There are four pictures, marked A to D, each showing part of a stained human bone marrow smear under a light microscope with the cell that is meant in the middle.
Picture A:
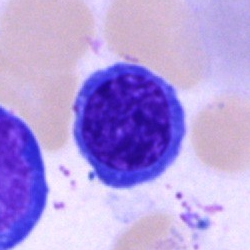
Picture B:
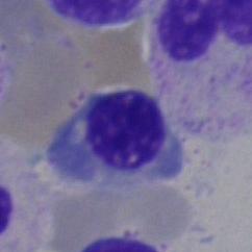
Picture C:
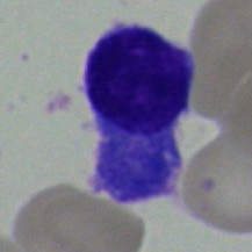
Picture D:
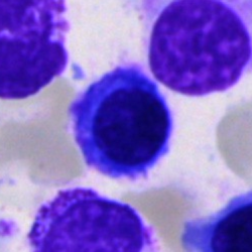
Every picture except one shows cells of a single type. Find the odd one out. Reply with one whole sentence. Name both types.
Picture C is the odd one out: it shows a plasma cell, while the others show erythroblasts.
